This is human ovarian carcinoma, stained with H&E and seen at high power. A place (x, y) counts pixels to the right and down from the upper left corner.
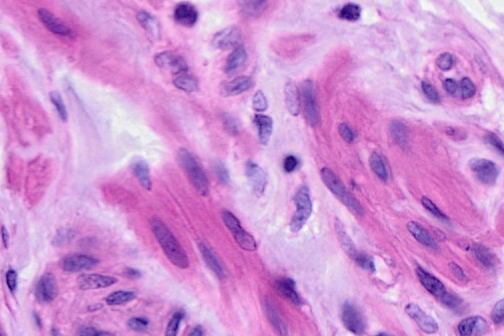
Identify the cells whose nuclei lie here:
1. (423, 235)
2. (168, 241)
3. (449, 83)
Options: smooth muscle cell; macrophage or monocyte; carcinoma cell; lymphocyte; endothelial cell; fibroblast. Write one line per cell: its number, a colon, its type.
1: smooth muscle cell
2: smooth muscle cell
3: endothelial cell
